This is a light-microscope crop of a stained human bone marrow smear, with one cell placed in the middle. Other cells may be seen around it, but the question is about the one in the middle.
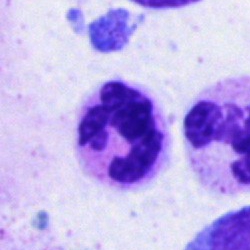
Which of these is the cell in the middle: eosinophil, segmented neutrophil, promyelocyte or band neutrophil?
segmented neutrophil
